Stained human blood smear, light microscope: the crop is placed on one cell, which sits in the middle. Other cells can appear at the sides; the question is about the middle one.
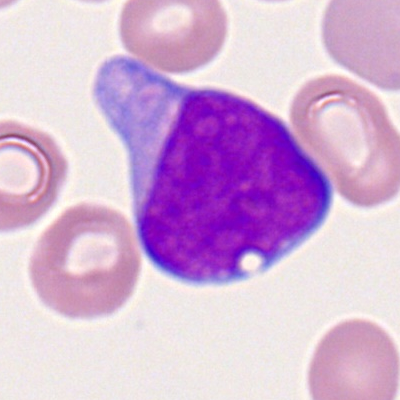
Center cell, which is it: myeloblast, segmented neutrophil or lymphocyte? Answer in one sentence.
Looking at the middle of the crop, the cell there is a myeloblast.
